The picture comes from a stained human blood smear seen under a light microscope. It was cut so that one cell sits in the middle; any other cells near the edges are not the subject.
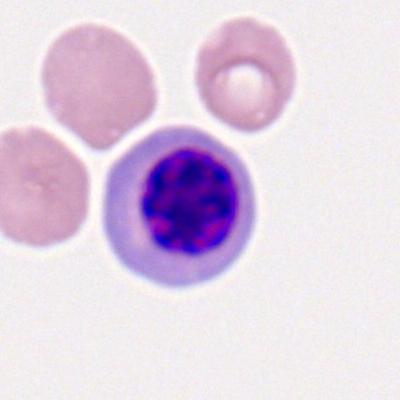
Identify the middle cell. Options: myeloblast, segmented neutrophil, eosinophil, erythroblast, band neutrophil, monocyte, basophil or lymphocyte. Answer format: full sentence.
Whatever else lies nearby, the middle cell is an erythroblast.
